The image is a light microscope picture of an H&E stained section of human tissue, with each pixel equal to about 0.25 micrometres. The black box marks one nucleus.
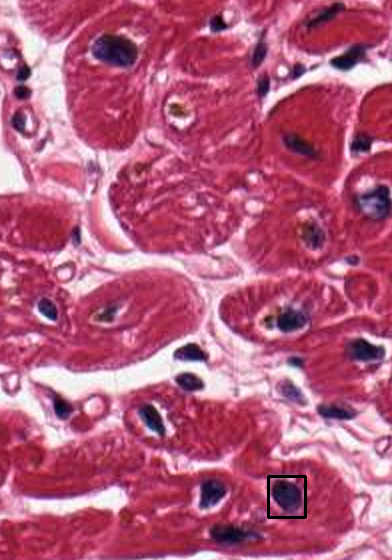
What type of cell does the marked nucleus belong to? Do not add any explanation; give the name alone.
cardiomyocyte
